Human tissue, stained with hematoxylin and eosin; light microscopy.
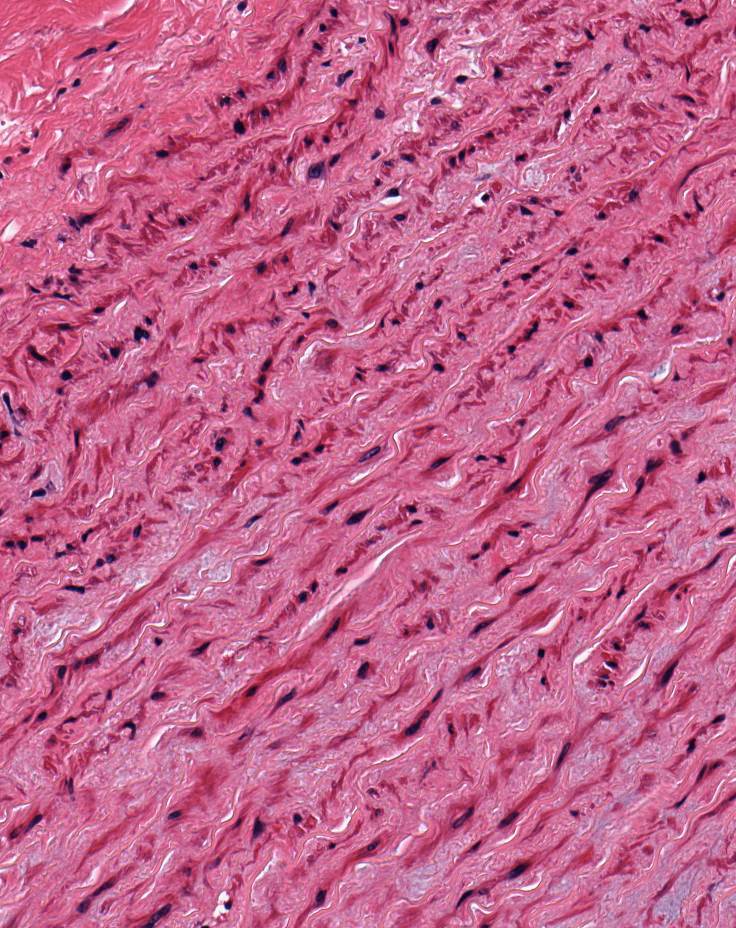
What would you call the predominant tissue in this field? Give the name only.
tunica media of an artery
